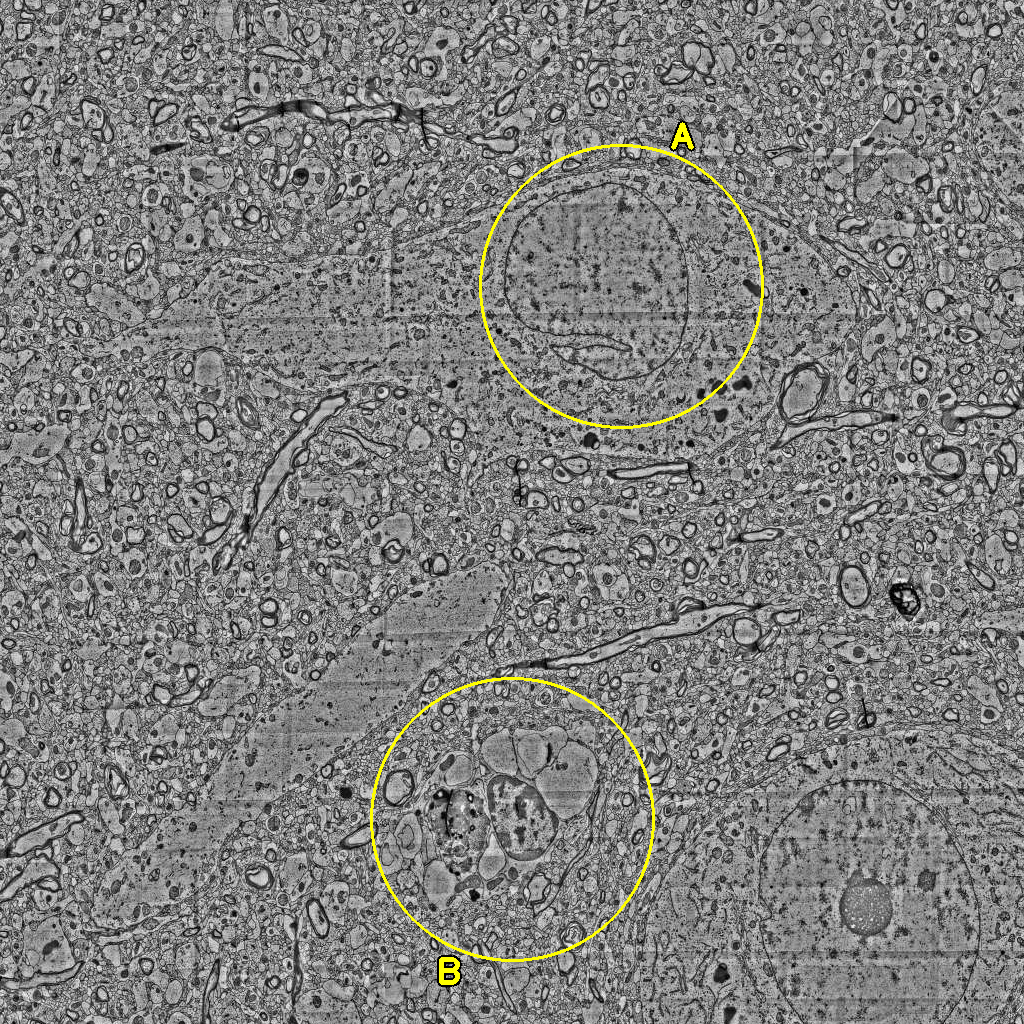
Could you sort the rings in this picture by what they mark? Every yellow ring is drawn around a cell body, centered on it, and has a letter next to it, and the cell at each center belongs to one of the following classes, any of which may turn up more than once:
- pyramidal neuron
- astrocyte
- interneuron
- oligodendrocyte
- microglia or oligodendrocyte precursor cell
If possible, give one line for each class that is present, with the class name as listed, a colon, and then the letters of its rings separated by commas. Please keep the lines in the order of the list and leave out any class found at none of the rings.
pyramidal neuron: A
microglia or oligodendrocyte precursor cell: B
